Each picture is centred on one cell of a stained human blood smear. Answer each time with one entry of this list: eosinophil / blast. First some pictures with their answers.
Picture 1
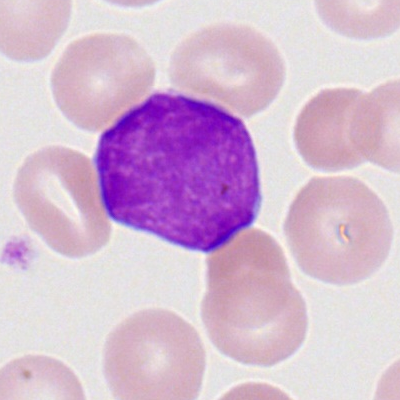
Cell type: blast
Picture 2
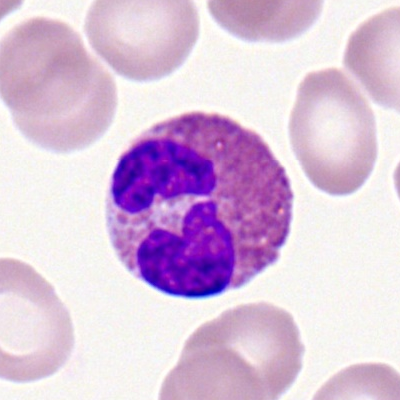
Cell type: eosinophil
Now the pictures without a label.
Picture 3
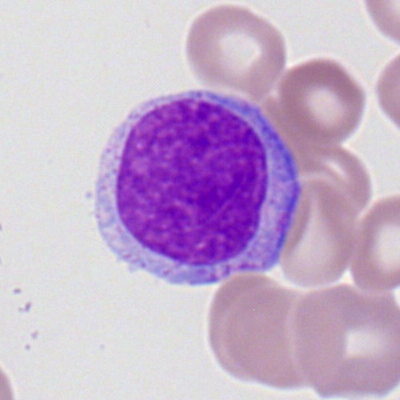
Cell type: blast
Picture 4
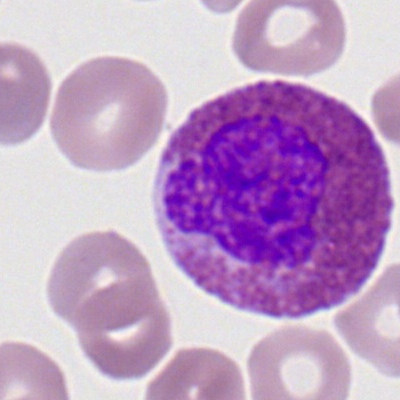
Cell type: eosinophil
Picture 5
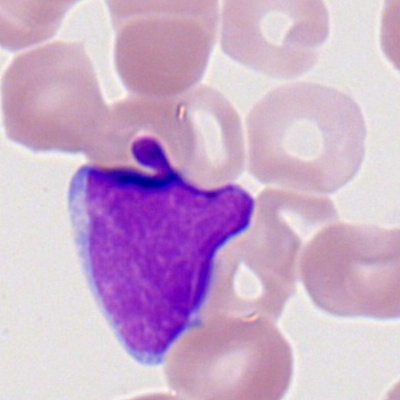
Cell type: blast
